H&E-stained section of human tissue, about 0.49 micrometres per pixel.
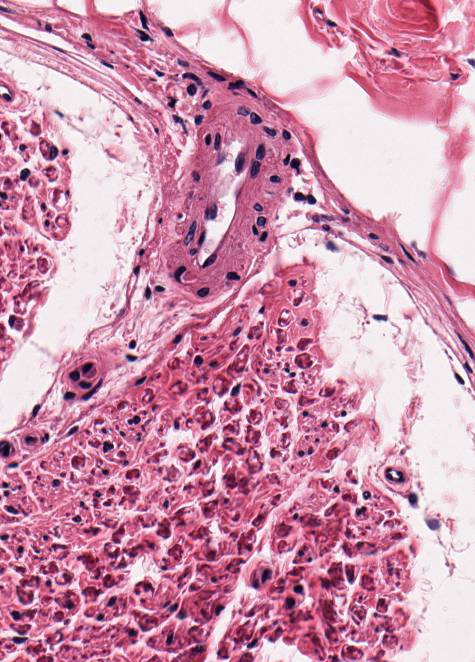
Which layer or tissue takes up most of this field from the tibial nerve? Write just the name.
nerve fascicle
